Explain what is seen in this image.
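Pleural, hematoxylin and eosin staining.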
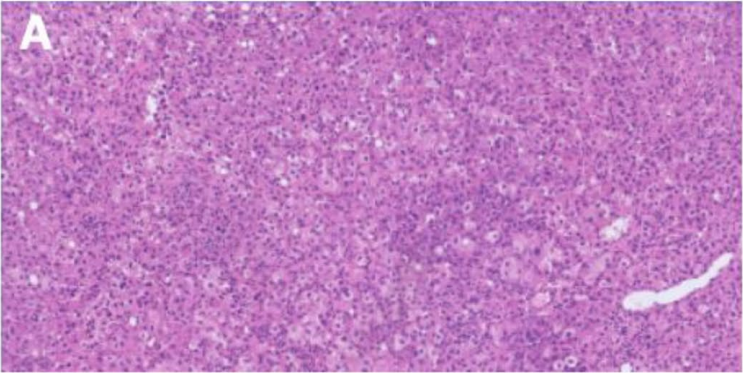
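At lower power this malignant tumor with a hepatoid aspect forms a solid, diffuse sheet of cells with pink cytoplasm, without any recognisable normal tissue architecture. In several places denser, darker patches of small cells with little cytoplasm break up the sheet. A few small clear spaces and a narrow empty vessel-like channel at the lower right interrupt the tissue, and some cells show pale vacuoles.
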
